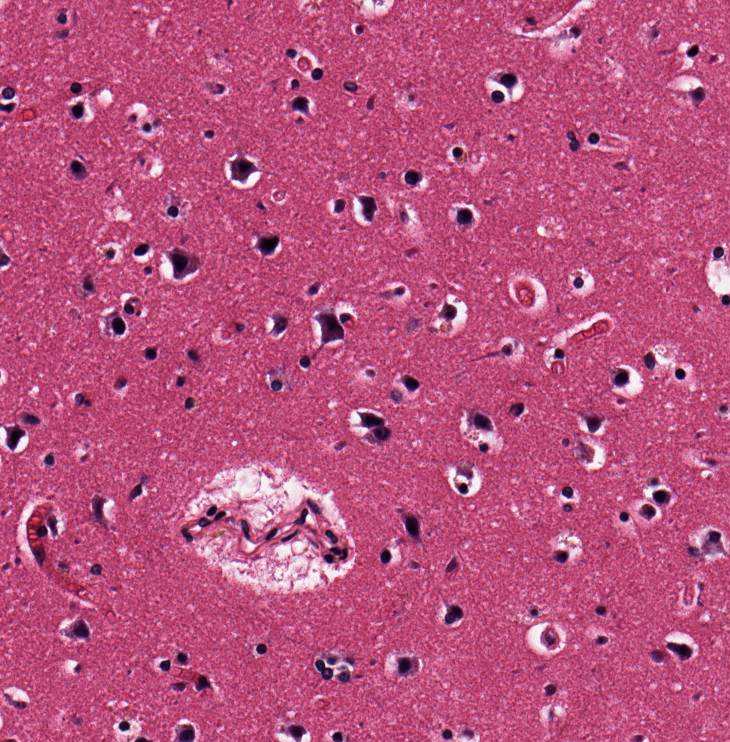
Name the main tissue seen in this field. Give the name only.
cerebral cortex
